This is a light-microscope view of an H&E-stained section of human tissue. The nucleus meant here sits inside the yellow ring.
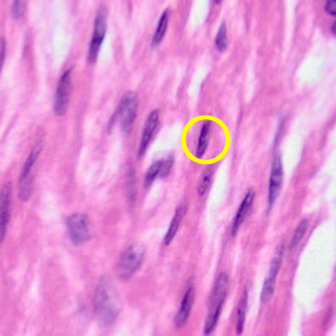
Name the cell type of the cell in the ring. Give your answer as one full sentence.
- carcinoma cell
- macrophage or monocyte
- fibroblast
Cytologically, the cell in the ring is to be regarded as a fibroblast.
